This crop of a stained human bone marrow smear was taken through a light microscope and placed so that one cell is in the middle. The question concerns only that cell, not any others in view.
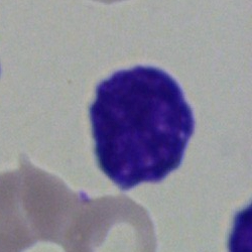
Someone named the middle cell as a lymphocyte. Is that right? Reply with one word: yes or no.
no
